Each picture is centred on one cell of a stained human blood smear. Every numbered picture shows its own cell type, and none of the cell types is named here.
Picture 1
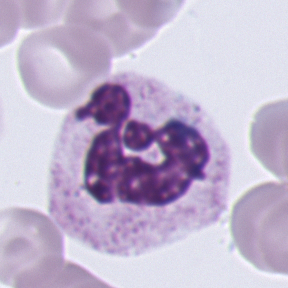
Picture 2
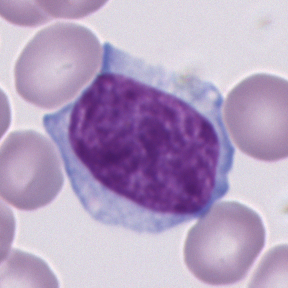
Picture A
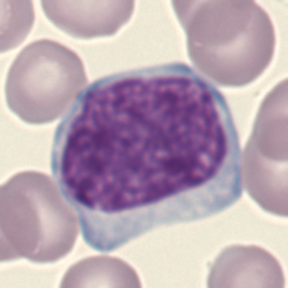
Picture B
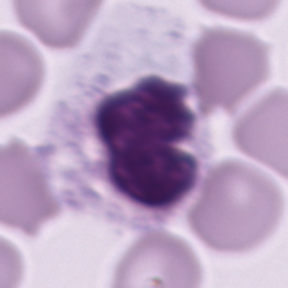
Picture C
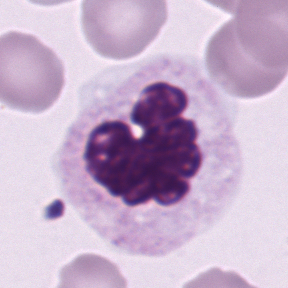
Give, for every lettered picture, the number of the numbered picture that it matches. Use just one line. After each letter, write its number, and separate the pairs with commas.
A 2, B 1, C 1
